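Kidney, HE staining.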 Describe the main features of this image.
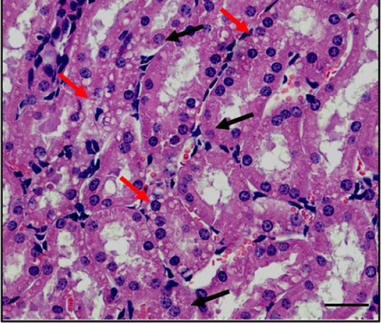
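Renal cortex filled with closely packed cross-sections of renal tubules, without a glomerulus in view. Tubules are lined by cuboidal epithelial cells with round purple nuclei and pink cytoplasm; several cells contain clear round vacuoles, while others show grainy pink cytoplasm. Many tubular lumens are open and pale, some appear irregular. Narrow interstitial spaces between tubules hold flattened dark nuclei and capillaries containing red blood cells. The overall arrangement of tubules is preserved, but the lining cells look uneven in height and cytoplasmic texture.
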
